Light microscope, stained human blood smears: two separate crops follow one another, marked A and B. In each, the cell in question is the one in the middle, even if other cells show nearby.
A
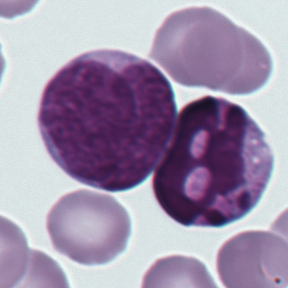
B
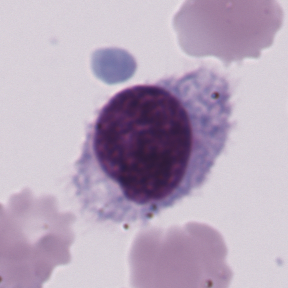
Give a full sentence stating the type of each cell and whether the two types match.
No, crop A depicts a myeloblast; crop B depicts a hairy cell.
